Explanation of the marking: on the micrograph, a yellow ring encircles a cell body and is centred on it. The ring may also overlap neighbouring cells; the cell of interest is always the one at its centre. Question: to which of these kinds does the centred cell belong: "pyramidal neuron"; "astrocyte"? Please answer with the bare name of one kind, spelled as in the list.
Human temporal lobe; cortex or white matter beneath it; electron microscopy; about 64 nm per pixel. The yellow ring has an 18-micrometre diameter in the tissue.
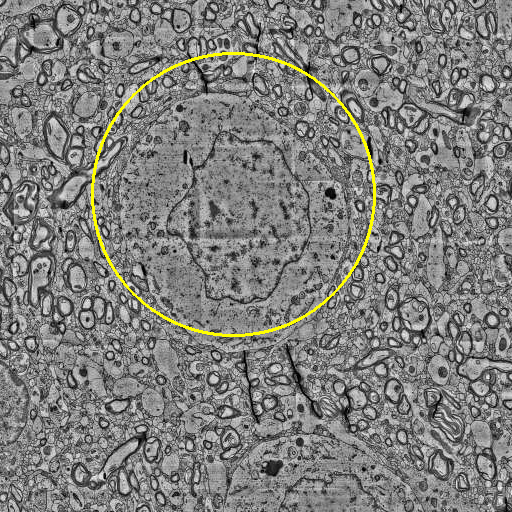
pyramidal neuron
